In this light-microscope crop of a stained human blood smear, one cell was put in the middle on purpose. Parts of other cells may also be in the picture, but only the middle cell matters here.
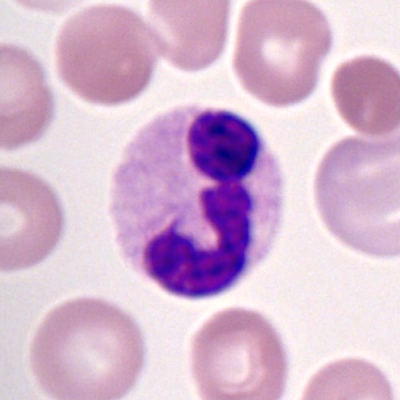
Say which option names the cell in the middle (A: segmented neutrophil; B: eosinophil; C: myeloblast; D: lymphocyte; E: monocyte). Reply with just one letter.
A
